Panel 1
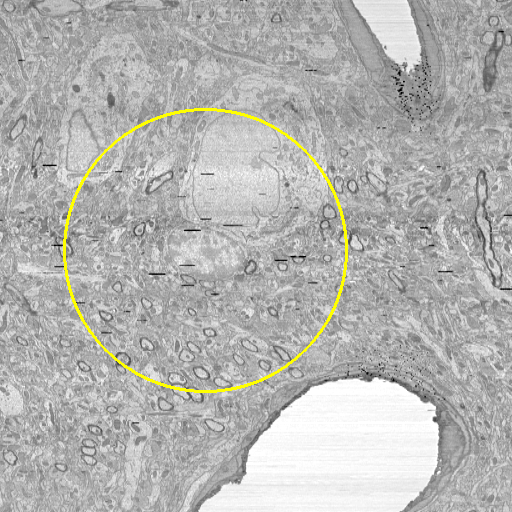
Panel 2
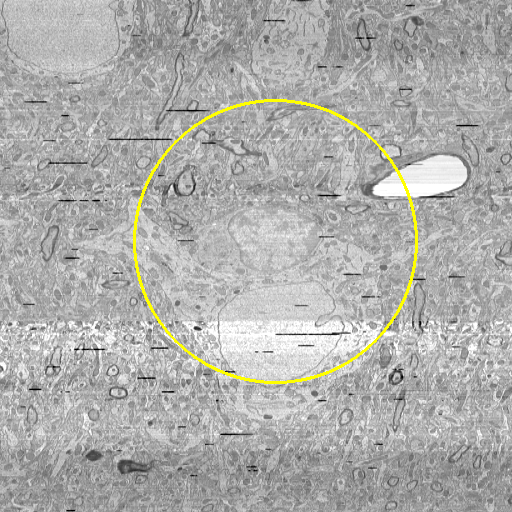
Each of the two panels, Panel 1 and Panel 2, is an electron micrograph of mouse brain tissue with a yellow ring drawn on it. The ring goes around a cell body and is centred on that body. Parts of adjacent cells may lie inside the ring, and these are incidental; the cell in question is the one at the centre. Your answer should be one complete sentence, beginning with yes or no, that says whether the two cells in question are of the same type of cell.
Yes, the two cells are of the same type.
